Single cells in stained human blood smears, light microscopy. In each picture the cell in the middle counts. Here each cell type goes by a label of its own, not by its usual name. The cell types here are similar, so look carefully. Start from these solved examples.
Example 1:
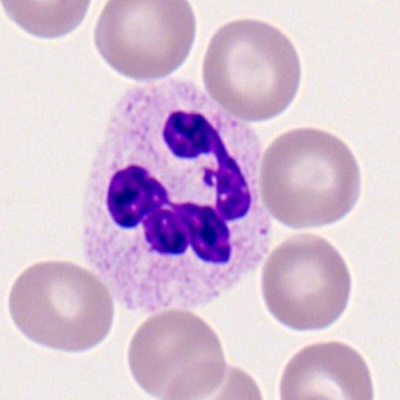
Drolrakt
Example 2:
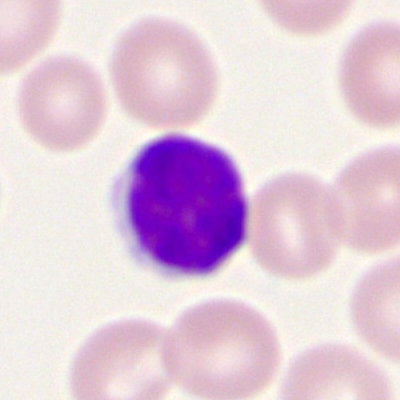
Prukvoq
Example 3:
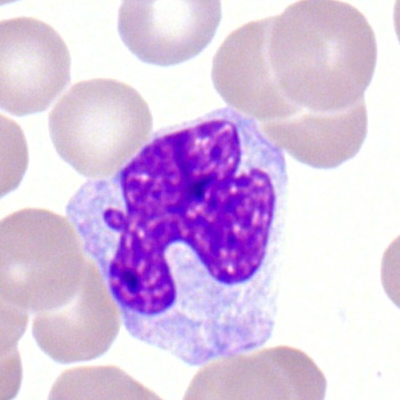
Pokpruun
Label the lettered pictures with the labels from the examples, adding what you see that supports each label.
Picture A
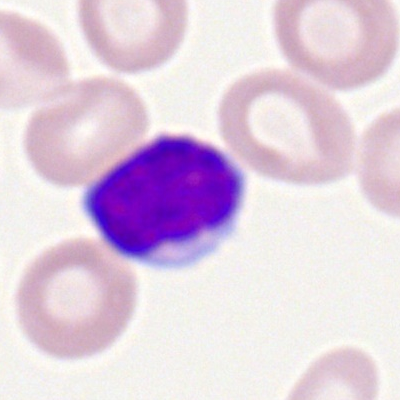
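Label: Prukvoq. The nucleus fills most of the cell.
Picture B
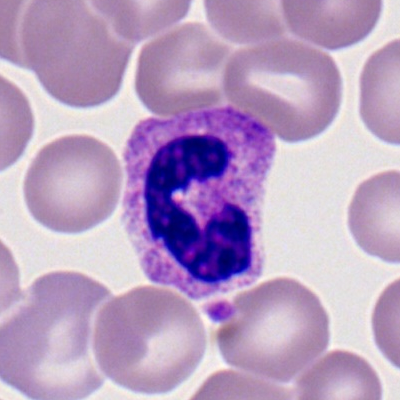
Label: Drolrakt. The nucleus is a curved C-shaped band whose open side faces right.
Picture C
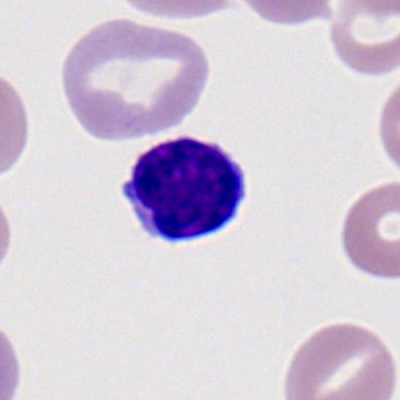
Label: Prukvoq. Only a scant rim of pale blue cytoplasm shows, mainly at the left edge.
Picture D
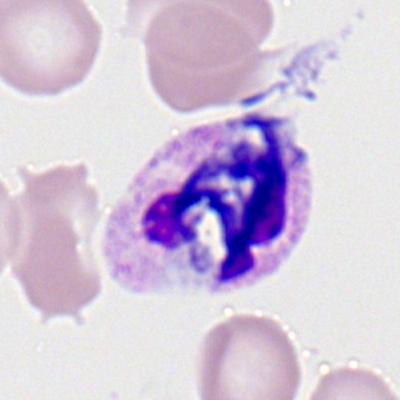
Label: Drolrakt. The nucleus is a curved, twisted band that wraps around a pale central gap.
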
